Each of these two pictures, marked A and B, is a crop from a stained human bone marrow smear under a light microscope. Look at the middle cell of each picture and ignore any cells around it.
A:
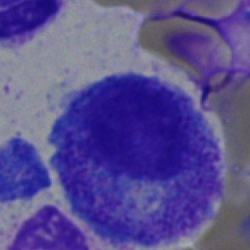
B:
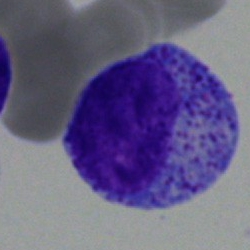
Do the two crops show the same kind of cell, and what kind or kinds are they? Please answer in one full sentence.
No, it is crop A that shows a myelocyte, and crop B shows a promyelocyte.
